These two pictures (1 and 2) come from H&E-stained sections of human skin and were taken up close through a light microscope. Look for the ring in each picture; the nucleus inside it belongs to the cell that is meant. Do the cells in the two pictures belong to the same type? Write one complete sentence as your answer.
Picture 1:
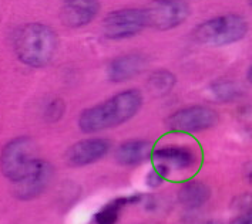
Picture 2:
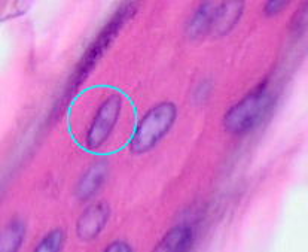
No, the types are not the same, since picture 1 shows a basal keratinocyte and picture 2 a suprabasal keratinocyte.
